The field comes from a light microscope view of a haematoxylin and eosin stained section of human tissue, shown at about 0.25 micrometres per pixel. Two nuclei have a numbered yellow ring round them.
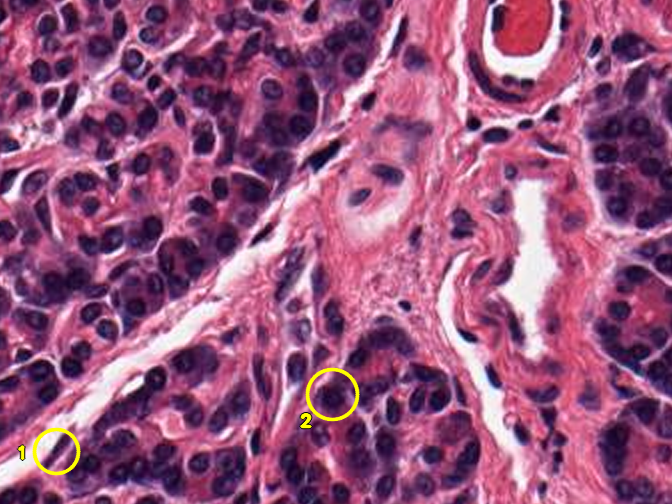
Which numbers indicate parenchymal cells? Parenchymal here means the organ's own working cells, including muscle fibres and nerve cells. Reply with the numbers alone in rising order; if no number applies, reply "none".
2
